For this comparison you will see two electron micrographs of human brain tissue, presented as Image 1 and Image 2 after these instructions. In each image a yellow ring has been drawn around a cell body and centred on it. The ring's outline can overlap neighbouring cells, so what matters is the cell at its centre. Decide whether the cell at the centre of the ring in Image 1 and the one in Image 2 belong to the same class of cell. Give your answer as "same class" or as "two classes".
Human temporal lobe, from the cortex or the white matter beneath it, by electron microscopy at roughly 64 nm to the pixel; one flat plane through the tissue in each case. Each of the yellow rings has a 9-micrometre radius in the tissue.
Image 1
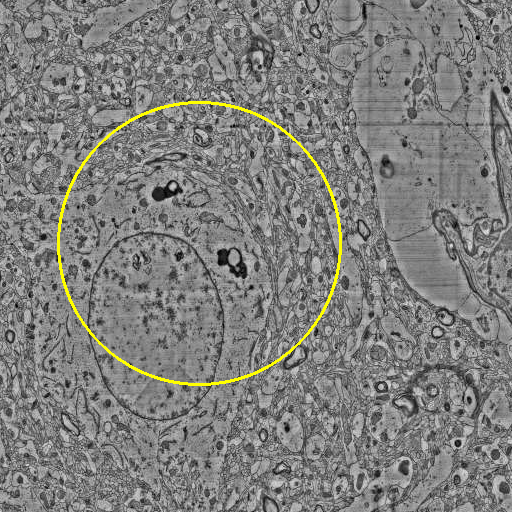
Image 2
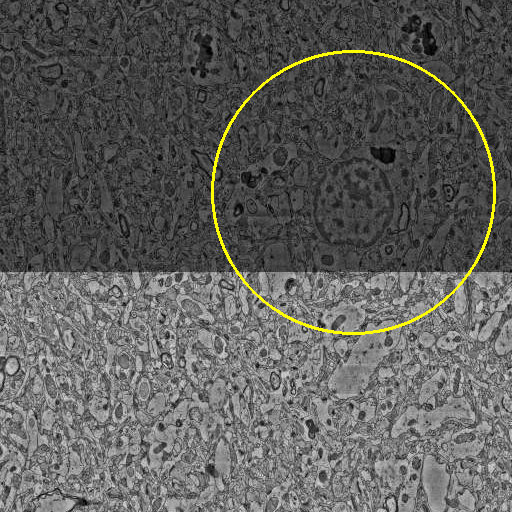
two classes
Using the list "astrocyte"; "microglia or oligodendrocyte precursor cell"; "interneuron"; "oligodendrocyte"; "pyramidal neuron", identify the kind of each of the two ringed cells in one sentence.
The first is a pyramidal neuron and the second is an oligodendrocyte.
